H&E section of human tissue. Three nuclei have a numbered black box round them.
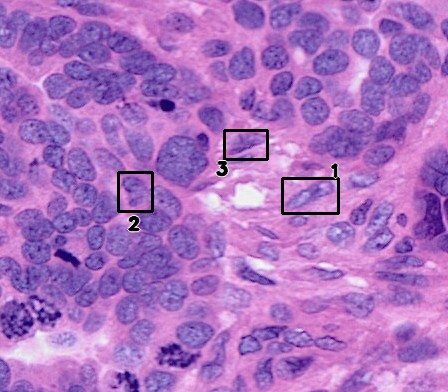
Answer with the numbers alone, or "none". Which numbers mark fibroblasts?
1, 3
